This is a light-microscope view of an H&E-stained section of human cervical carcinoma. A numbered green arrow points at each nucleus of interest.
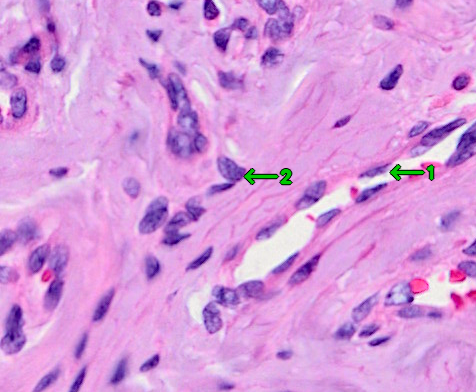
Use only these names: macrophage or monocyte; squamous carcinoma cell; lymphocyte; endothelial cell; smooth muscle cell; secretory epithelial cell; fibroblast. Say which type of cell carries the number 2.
fibroblast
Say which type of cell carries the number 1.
endothelial cell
